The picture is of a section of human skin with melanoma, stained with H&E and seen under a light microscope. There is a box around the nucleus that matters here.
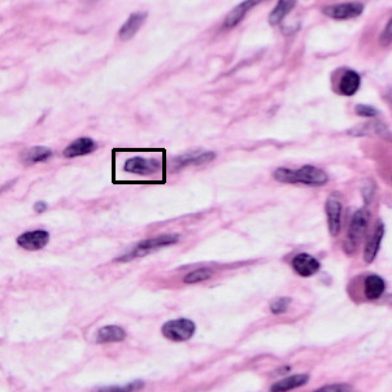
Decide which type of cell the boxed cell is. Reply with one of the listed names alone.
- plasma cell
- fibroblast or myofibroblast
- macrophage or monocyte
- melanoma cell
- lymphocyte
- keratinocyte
lymphocyte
